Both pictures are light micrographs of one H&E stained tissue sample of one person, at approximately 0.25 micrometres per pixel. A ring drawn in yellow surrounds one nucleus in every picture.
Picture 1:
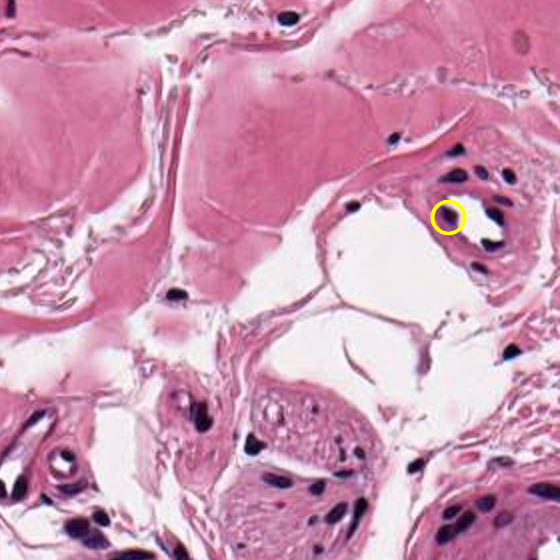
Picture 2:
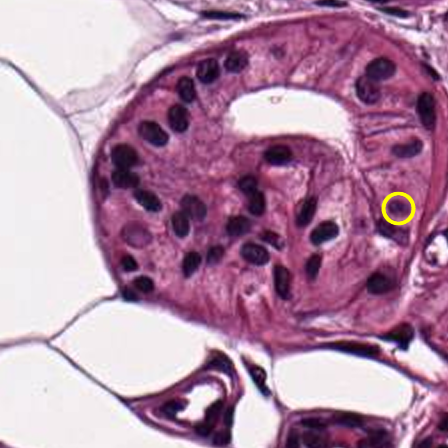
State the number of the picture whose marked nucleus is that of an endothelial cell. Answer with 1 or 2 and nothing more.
1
